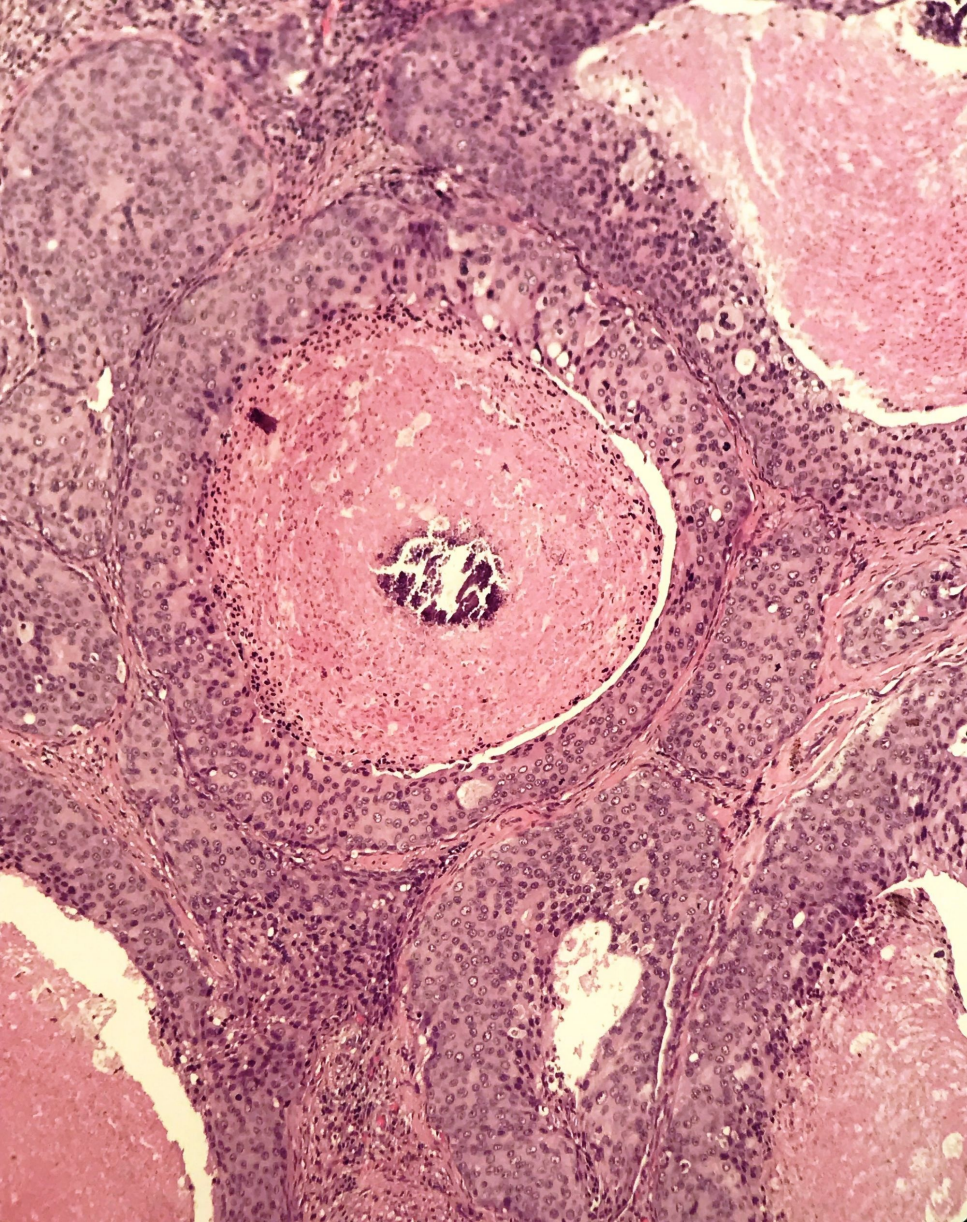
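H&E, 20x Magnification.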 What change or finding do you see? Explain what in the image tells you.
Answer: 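Rounded nests of epithelial cells separated by thin fibrous septa. The centres of several nests are filled with pale pink, granular, cell-poor debris. A rim of viable cells with dark nuclei surrounds the pink central material. So: central comedo-like necrosis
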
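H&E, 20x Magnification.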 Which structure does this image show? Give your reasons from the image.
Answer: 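A dark purple, fractured, clumped deposit lies in the middle of the pink necrotic centre of the central nest. The deposit is sharply bordered and cracked, unlike the surrounding debris.
Conclusion: microcalcifications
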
